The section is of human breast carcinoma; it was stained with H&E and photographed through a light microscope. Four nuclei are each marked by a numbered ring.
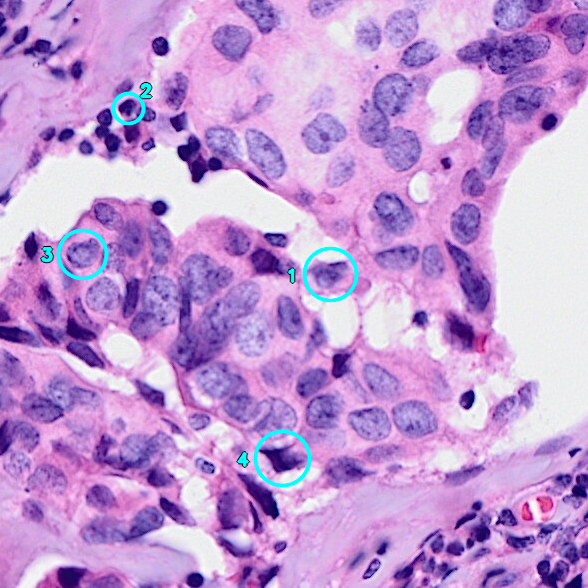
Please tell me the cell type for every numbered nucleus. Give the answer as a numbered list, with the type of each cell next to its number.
1. carcinoma cell
2. lymphocyte
3. carcinoma cell
4. carcinoma cell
